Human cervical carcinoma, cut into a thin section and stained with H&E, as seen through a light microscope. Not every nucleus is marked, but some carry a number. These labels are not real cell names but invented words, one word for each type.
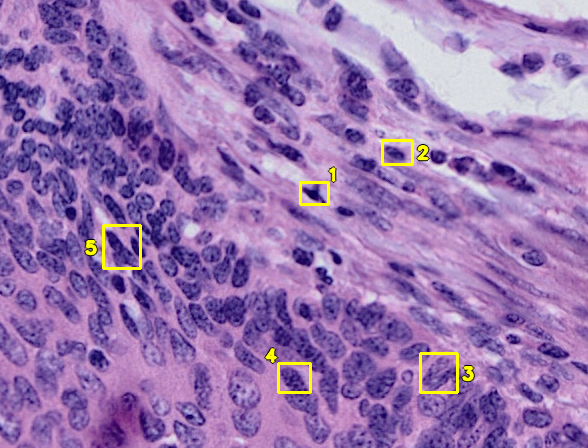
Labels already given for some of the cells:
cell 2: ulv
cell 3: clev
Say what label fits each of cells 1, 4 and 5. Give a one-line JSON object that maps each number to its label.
{"1": "ulv", "4": "clev", "5": "clev"}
